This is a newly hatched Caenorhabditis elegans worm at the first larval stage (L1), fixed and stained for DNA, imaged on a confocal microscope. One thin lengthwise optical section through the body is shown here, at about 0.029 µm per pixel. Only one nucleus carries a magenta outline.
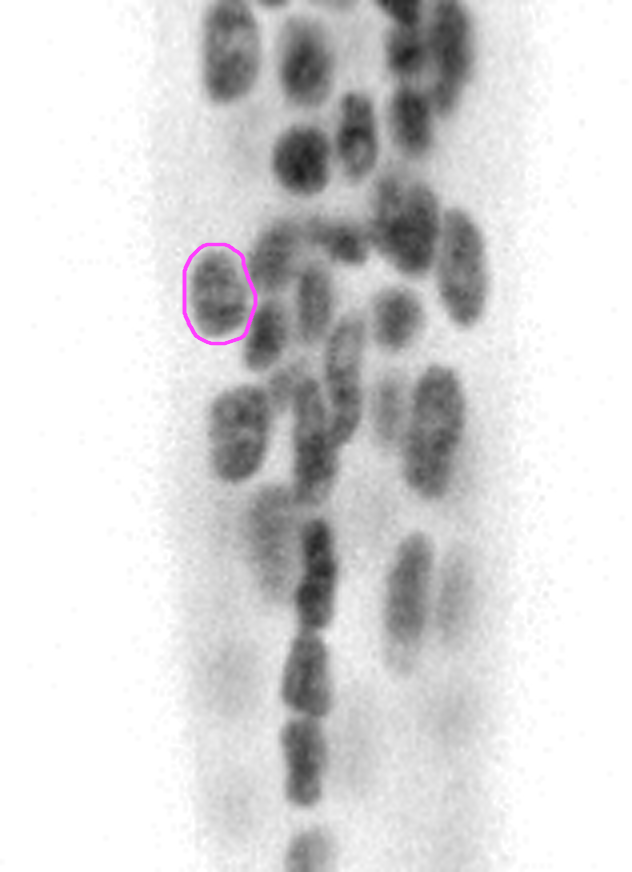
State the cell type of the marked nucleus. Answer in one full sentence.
This is the nucleus of a body wall muscle cell.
